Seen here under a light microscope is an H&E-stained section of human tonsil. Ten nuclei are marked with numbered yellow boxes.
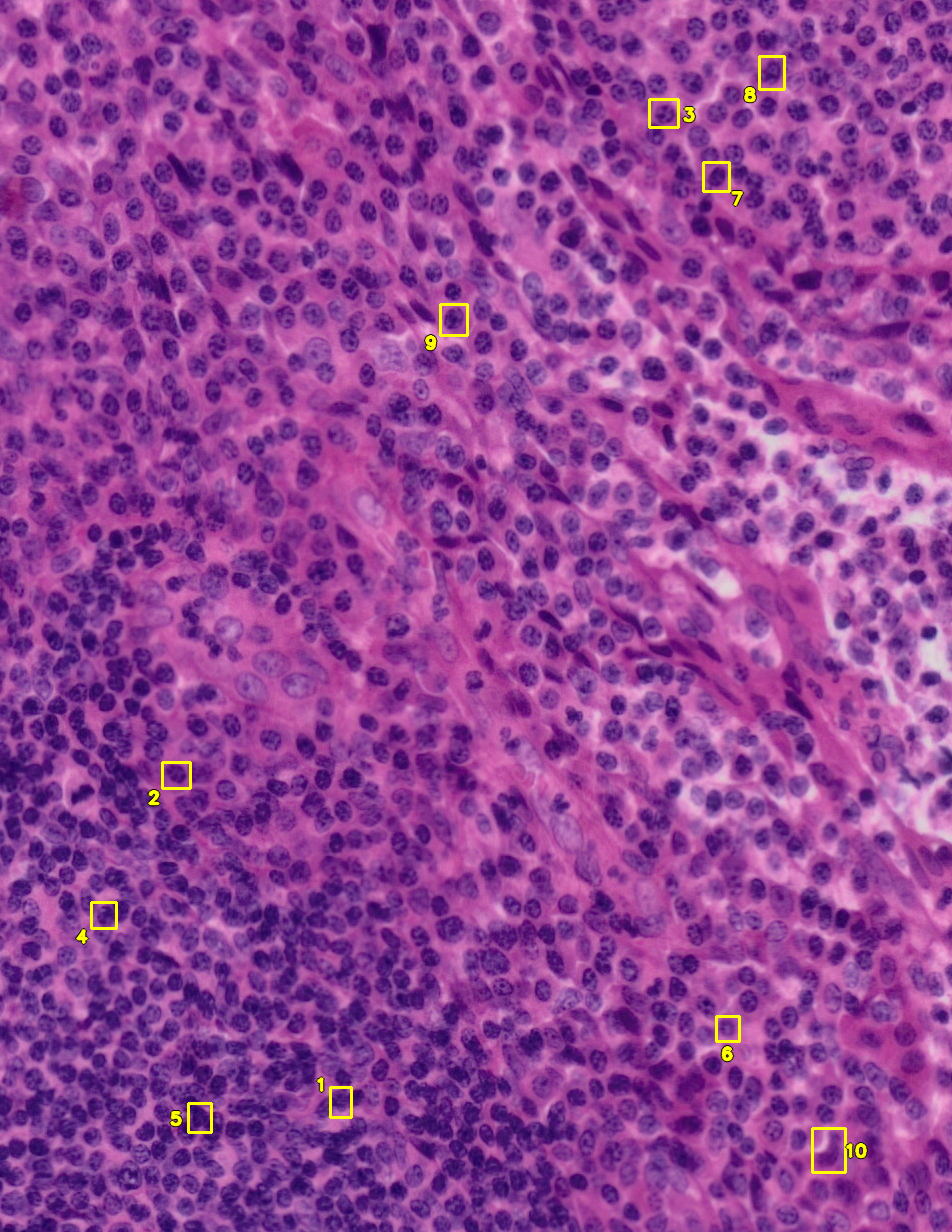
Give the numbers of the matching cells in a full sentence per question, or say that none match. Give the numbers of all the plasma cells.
In short, the numbered cells 2, 3, 6, 7, 8 and 9 are plasma cells.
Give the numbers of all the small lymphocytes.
Within the section, cells numbered 1, 4 and 5 are small lymphocytes.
